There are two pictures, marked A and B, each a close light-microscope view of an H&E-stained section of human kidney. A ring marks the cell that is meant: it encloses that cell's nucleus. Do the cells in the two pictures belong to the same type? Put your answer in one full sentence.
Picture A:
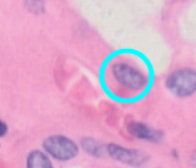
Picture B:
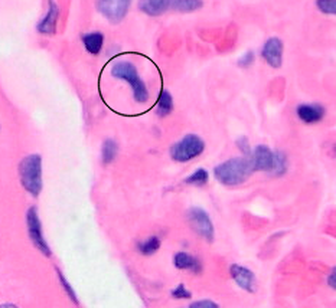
No, picture A shows a “loop of Henle or distal tubule cell” and picture B shows an endothelial cell.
